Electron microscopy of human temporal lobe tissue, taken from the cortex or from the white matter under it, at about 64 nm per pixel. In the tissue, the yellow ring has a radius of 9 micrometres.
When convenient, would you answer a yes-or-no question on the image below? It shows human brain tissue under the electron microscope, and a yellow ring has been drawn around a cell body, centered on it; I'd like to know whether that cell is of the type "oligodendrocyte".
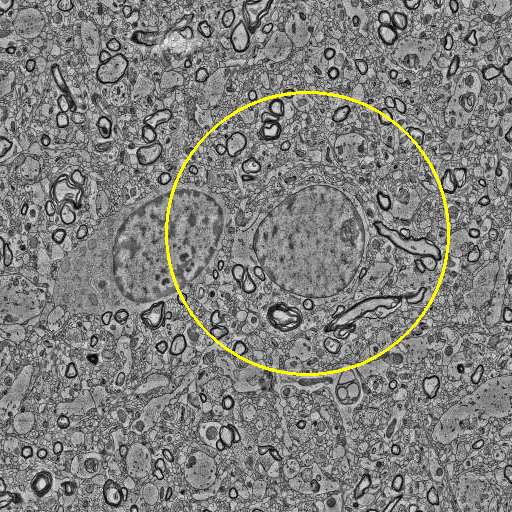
no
